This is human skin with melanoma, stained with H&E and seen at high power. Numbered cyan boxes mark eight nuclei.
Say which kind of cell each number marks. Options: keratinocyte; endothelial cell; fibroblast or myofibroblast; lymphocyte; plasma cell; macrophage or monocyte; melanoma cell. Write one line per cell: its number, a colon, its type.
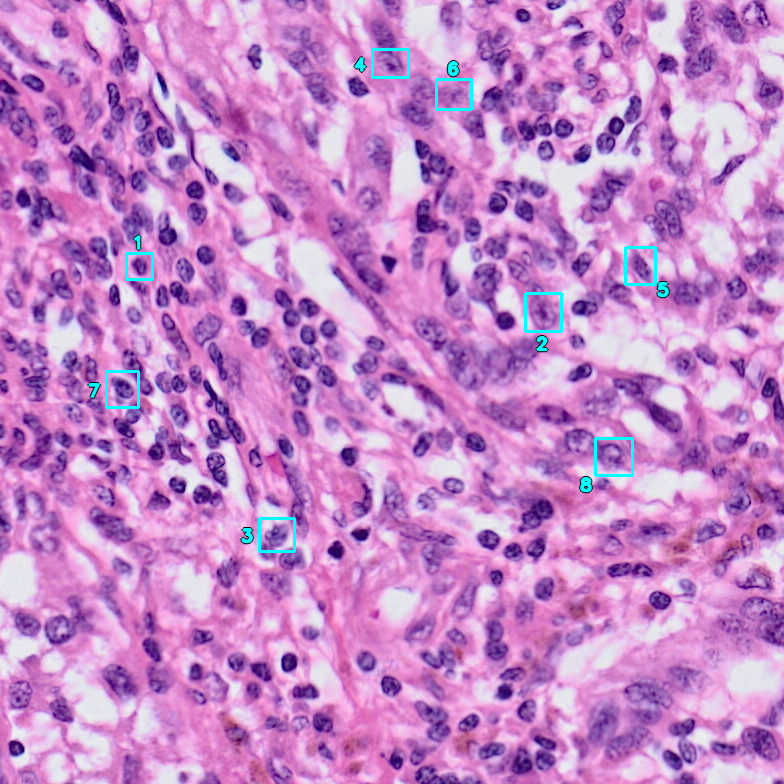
1: lymphocyte
2: melanoma cell
3: lymphocyte
4: melanoma cell
5: melanoma cell
6: melanoma cell
7: lymphocyte
8: melanoma cell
